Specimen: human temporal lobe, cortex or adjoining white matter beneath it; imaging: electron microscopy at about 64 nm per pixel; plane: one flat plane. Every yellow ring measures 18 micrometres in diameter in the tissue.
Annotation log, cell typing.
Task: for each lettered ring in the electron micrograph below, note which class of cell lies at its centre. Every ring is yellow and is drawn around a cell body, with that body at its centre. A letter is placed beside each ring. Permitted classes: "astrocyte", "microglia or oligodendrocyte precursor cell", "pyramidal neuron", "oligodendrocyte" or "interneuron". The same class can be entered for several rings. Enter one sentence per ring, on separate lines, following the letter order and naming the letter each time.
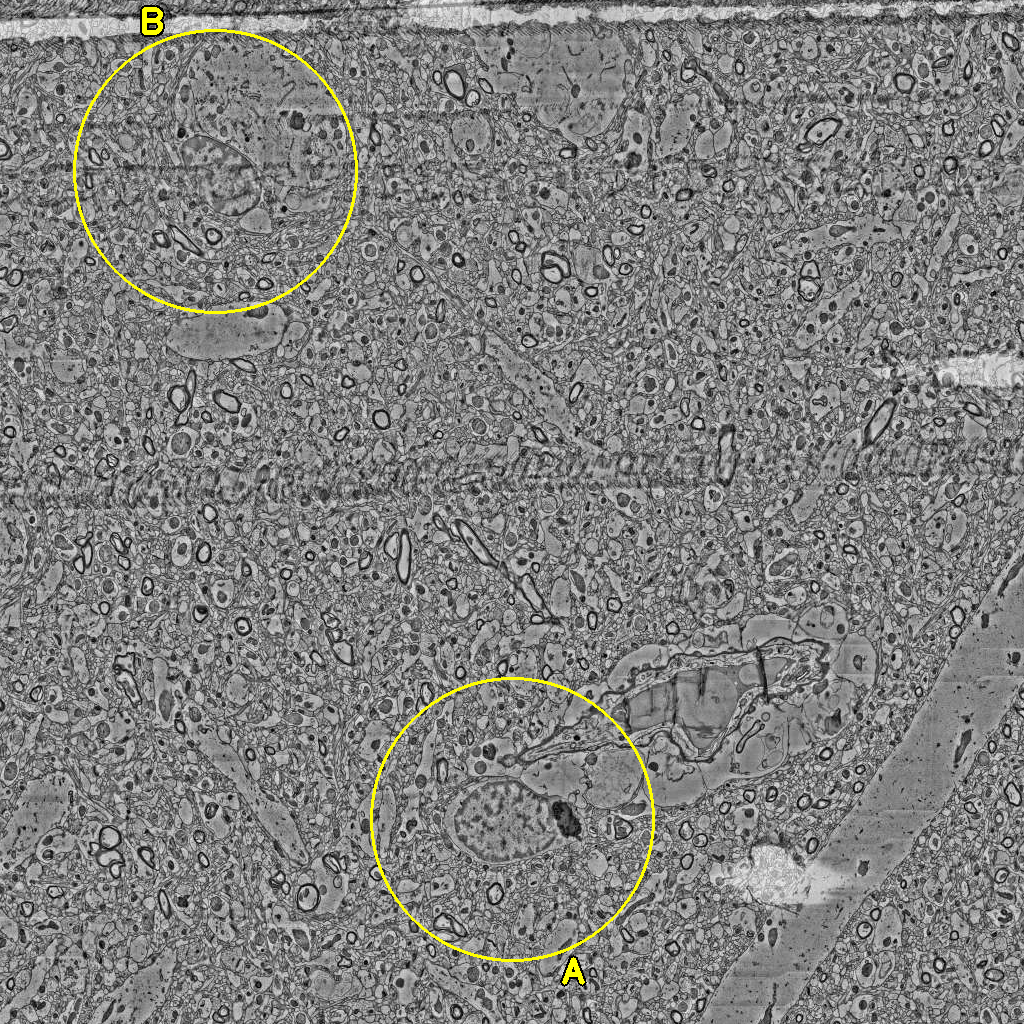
The cell at the centre of ring A is an oligodendrocyte.
The cell at the centre of ring B is a microglial cell or oligodendrocyte precursor cell.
